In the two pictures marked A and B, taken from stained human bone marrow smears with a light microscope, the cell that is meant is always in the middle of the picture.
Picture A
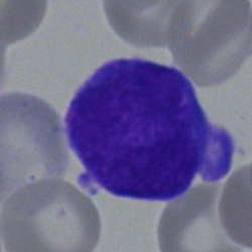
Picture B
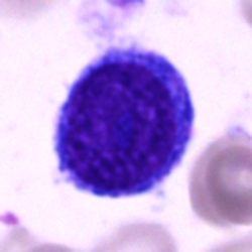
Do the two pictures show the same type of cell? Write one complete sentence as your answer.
Yes, the two pictures both show blasts.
